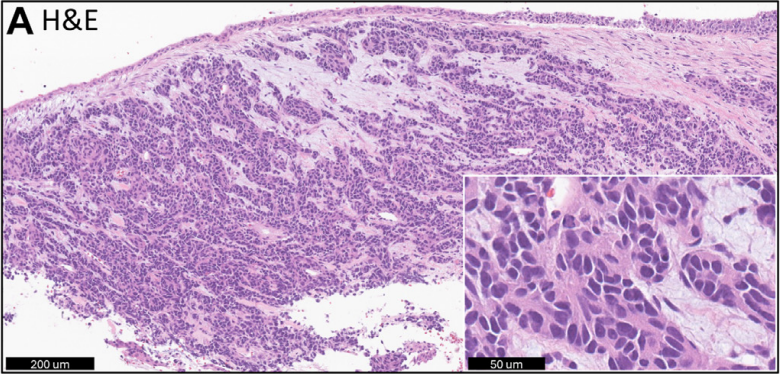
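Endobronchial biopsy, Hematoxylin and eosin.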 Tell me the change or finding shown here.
Nested tumor.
